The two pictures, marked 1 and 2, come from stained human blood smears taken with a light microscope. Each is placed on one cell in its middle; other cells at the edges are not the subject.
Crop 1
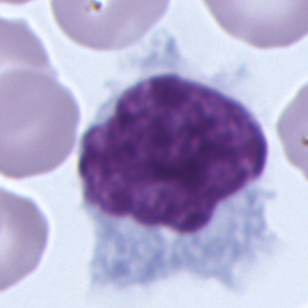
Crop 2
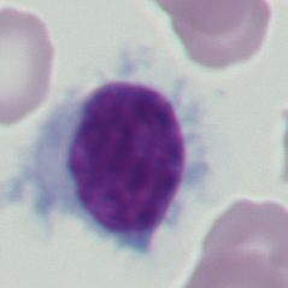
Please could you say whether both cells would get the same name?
yes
